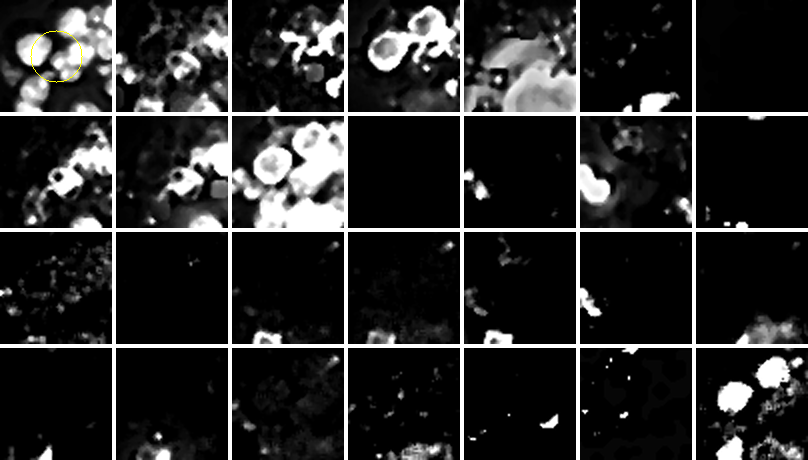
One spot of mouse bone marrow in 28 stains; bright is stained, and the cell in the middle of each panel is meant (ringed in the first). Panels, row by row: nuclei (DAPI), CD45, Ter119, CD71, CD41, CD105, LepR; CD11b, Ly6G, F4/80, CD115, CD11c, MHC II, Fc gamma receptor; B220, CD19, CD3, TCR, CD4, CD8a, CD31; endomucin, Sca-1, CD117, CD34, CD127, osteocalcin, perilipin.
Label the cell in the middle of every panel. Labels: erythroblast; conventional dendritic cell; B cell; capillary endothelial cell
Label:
erythroblast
